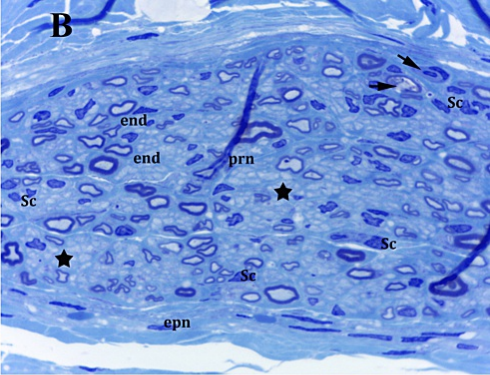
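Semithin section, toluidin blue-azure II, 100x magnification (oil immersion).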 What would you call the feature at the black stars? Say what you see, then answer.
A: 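The stars lie in areas of small pale profiles without dark myelin rings. Those small profiles are clustered between the larger dark-ringed fibers.
Hence: unmyelinated fibers.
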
